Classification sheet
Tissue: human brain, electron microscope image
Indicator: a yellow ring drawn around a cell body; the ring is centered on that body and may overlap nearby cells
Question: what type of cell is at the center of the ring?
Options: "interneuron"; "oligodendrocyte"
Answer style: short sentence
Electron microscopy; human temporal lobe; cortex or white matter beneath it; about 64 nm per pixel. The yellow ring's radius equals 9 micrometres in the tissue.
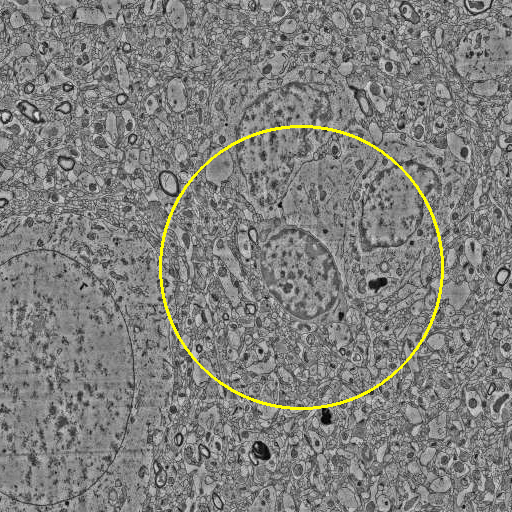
At the ring's center is an oligodendrocyte.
